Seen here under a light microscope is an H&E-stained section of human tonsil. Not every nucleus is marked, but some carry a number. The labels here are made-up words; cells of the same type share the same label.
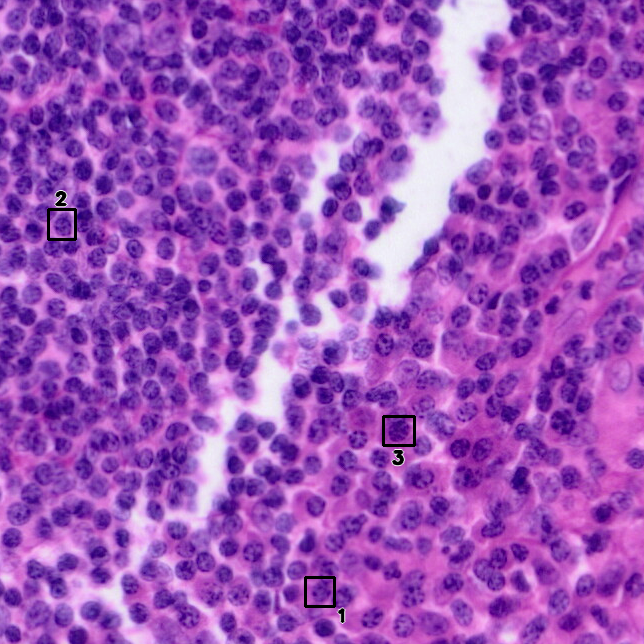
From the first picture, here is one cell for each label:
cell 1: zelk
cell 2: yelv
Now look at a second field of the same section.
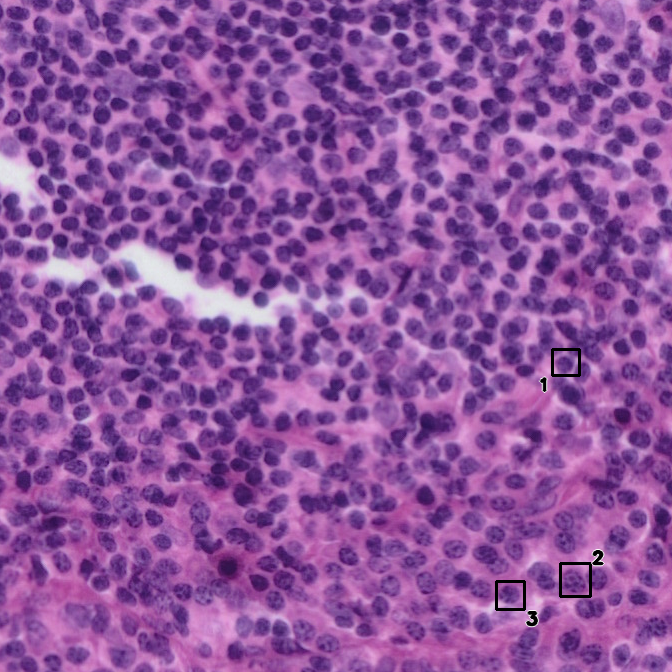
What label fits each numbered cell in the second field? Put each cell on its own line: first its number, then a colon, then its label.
1: yelv
2: zelk
3: zelk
